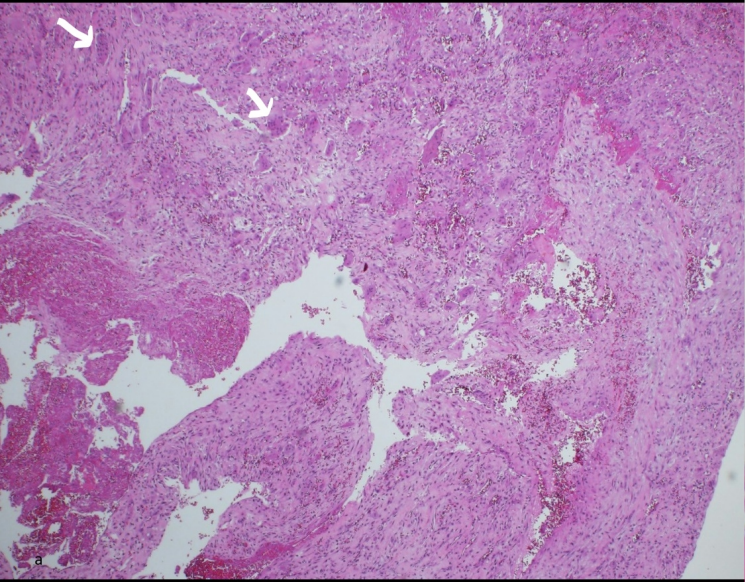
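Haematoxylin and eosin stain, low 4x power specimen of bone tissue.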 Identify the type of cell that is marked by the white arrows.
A: multinucleated giant cells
